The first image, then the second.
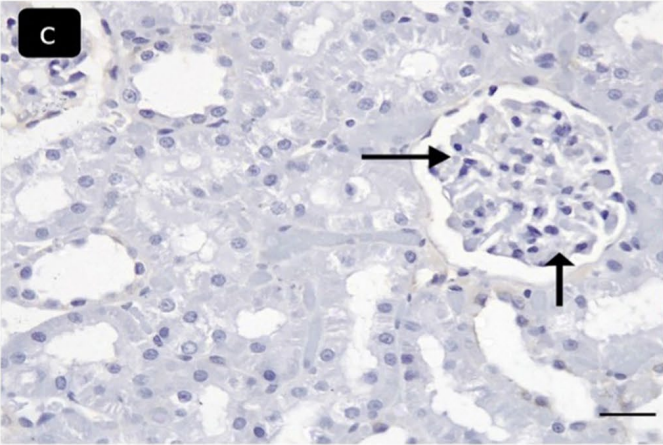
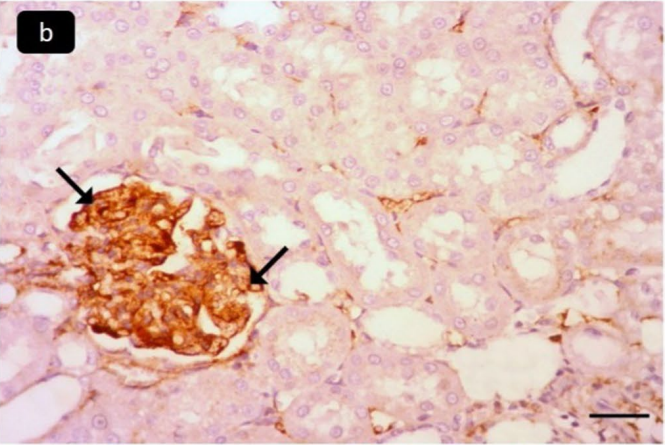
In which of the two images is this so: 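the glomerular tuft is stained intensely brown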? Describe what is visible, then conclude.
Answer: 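First image: the glomerular tuft is blue-grey with no obvious brown colour. Second image: the glomerular tuft is filled with dense dark-brown staining. So: the second image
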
